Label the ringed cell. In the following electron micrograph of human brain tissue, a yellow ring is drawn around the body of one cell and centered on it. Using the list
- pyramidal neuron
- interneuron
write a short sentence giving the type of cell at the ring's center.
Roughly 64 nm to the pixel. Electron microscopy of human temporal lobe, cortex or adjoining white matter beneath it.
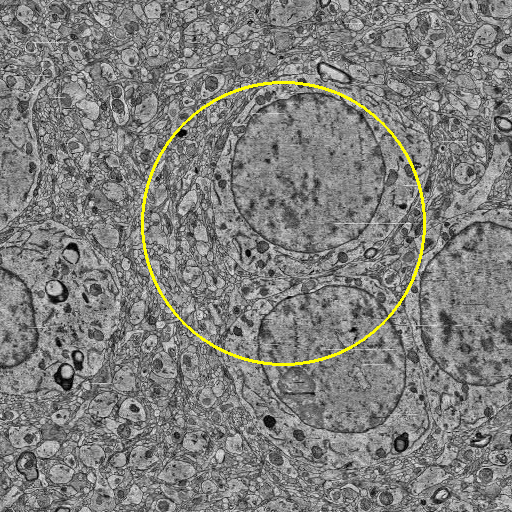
The cell body at the ring's center is that of a pyramidal neuron.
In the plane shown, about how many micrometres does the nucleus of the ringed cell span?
The nucleus is approximately 10 micrometers across in this plane.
